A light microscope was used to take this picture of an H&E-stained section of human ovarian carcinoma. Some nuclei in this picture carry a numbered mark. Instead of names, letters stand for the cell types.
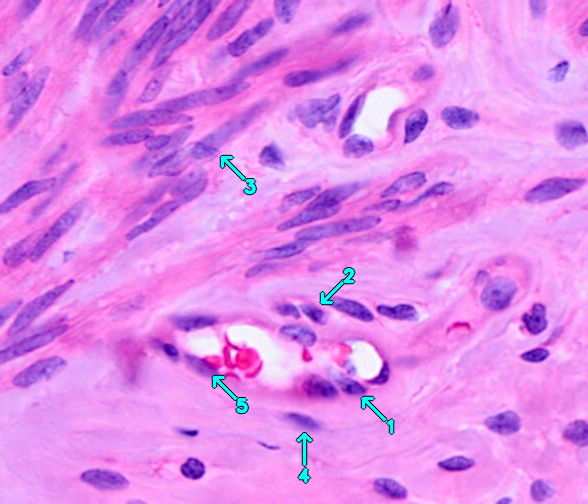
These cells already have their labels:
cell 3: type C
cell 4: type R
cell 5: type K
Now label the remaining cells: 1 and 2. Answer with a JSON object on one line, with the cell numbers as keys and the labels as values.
{"1": "type K", "2": "type K"}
